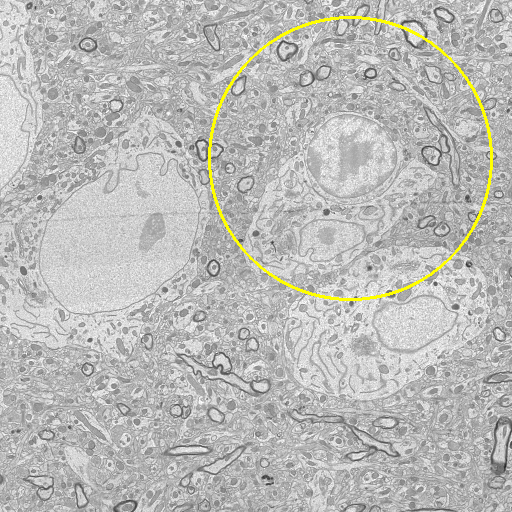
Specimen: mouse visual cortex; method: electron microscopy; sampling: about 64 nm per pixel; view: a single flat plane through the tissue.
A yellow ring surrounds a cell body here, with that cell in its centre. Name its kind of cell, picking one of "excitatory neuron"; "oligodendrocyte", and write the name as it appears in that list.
oligodendrocyte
